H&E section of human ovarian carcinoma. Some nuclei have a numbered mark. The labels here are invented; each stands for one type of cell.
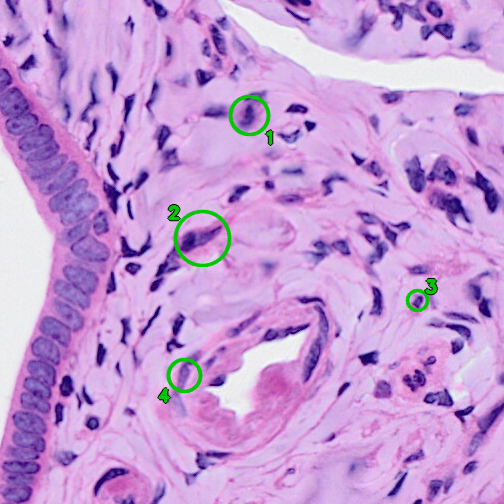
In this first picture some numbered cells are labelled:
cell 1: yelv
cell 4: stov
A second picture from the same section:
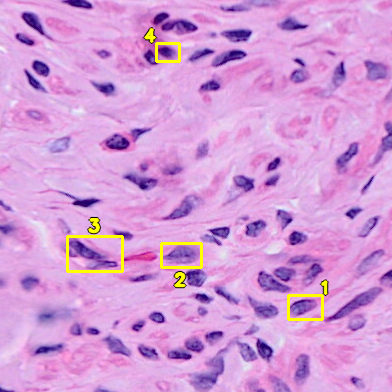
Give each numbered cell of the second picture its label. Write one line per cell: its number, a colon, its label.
1: stov
2: yelv
3: yelv
4: stov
